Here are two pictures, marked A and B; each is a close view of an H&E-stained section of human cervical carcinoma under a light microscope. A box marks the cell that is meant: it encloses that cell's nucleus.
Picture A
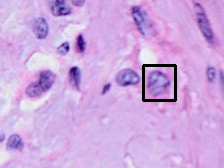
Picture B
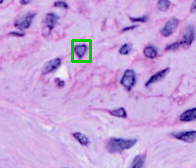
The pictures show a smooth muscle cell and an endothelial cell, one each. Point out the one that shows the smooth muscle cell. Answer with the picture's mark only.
B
